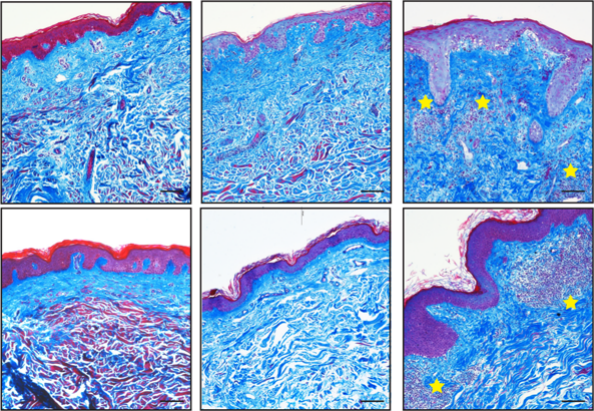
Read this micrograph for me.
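In every section the dermis consists mostly of blue-stained wavy collagen bundles. In the left sections, thinner red-stained strands also run between the blue bundles. In the right sections the epidermis is thicker, with deep downward projections into the dermis. There the regular blue fibre pattern is broken up by dense patches of small, dark purple dots. These patches are inflammatory cells crowding the upper and deeper dermis.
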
